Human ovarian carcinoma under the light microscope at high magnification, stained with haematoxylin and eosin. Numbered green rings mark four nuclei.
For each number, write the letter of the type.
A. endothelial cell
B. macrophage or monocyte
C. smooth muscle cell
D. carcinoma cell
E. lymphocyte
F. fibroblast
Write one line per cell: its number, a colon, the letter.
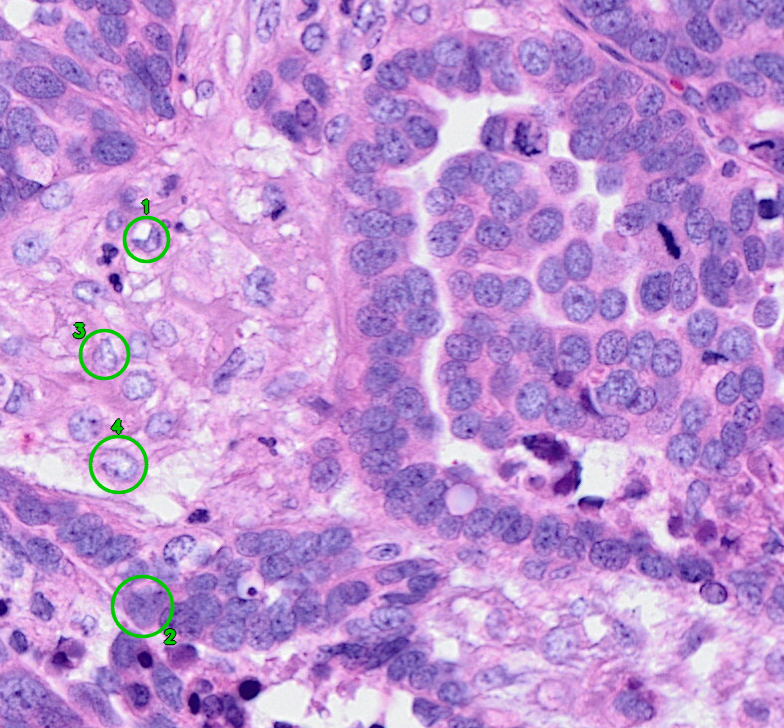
1: F
2: D
3: F
4: F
